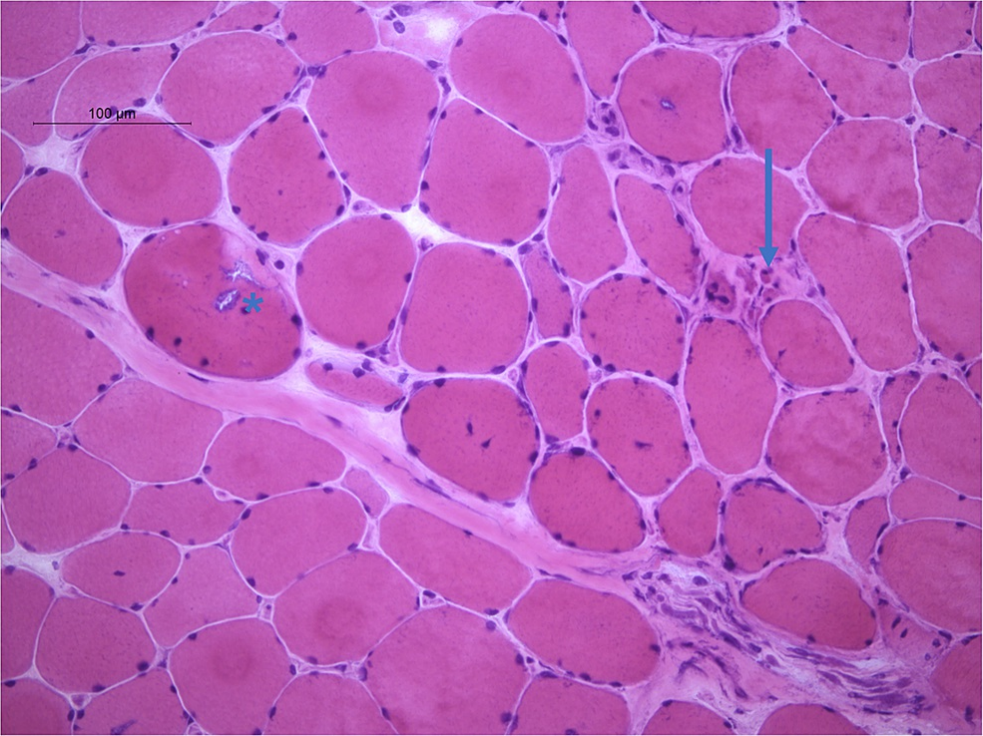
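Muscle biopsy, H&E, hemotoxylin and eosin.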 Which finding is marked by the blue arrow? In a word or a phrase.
Inflammatory infiltrates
